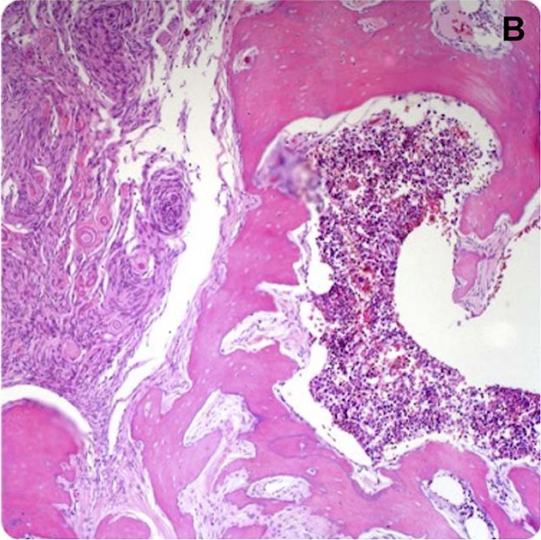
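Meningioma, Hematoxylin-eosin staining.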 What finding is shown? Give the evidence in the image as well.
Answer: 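Trabecular ossification. Broad pink bone trabeculae fill the right part of the field. A space within the bone holds densely packed small cells and red blood cells. Spindle-cell tissue lies beside the bone on the left.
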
